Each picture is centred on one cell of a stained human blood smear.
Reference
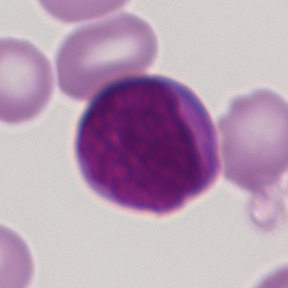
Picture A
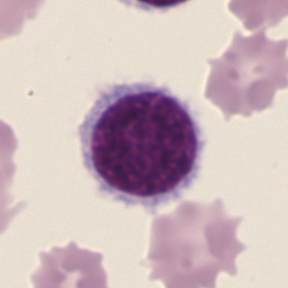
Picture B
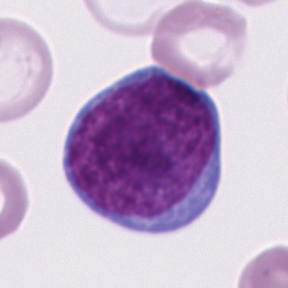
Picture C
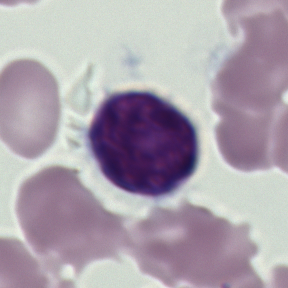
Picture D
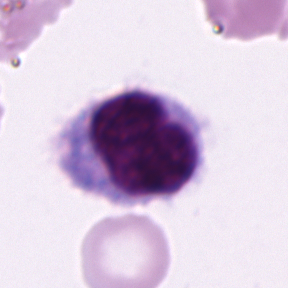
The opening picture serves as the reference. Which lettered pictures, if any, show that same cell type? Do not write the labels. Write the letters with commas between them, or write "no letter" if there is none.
B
